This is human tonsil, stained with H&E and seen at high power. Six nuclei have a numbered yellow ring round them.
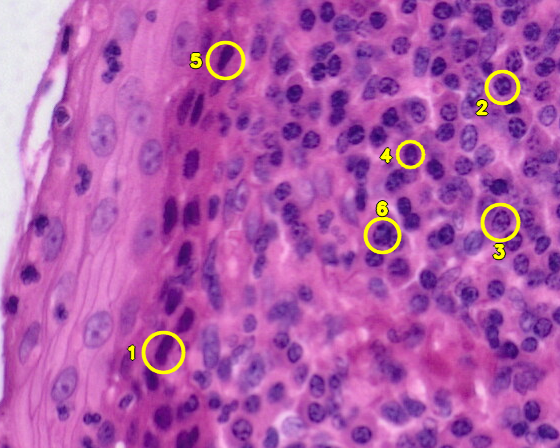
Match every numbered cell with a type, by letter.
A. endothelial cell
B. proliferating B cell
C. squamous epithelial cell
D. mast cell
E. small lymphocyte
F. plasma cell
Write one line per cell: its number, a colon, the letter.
1: C
2: F
3: F
4: F
5: C
6: F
